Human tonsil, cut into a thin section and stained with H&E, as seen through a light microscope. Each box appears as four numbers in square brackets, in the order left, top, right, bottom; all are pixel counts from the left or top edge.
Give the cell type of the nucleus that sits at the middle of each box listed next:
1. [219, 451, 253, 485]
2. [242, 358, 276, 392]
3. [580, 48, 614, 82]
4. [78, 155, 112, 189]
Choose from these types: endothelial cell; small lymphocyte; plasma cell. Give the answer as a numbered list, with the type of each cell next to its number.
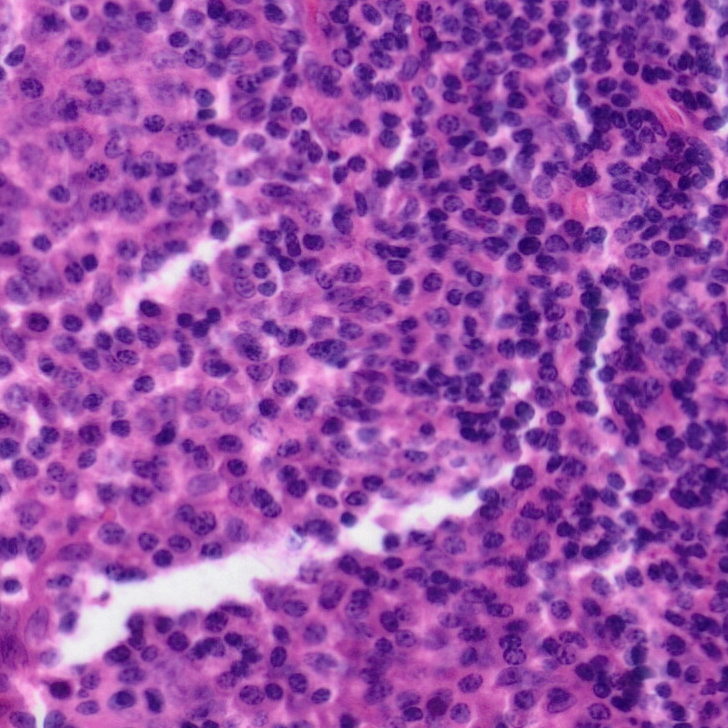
1. plasma cell
2. plasma cell
3. small lymphocyte
4. plasma cell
